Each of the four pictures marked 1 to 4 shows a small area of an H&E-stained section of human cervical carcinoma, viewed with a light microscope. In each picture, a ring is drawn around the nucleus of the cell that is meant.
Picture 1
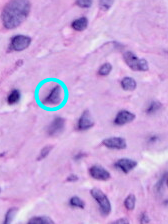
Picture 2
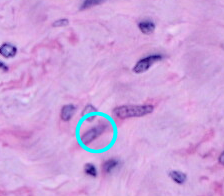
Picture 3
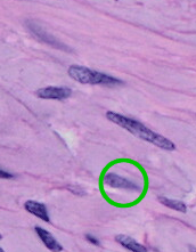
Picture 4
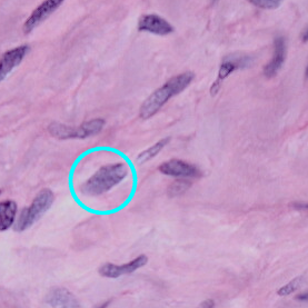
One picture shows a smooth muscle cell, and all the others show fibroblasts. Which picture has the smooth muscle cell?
2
